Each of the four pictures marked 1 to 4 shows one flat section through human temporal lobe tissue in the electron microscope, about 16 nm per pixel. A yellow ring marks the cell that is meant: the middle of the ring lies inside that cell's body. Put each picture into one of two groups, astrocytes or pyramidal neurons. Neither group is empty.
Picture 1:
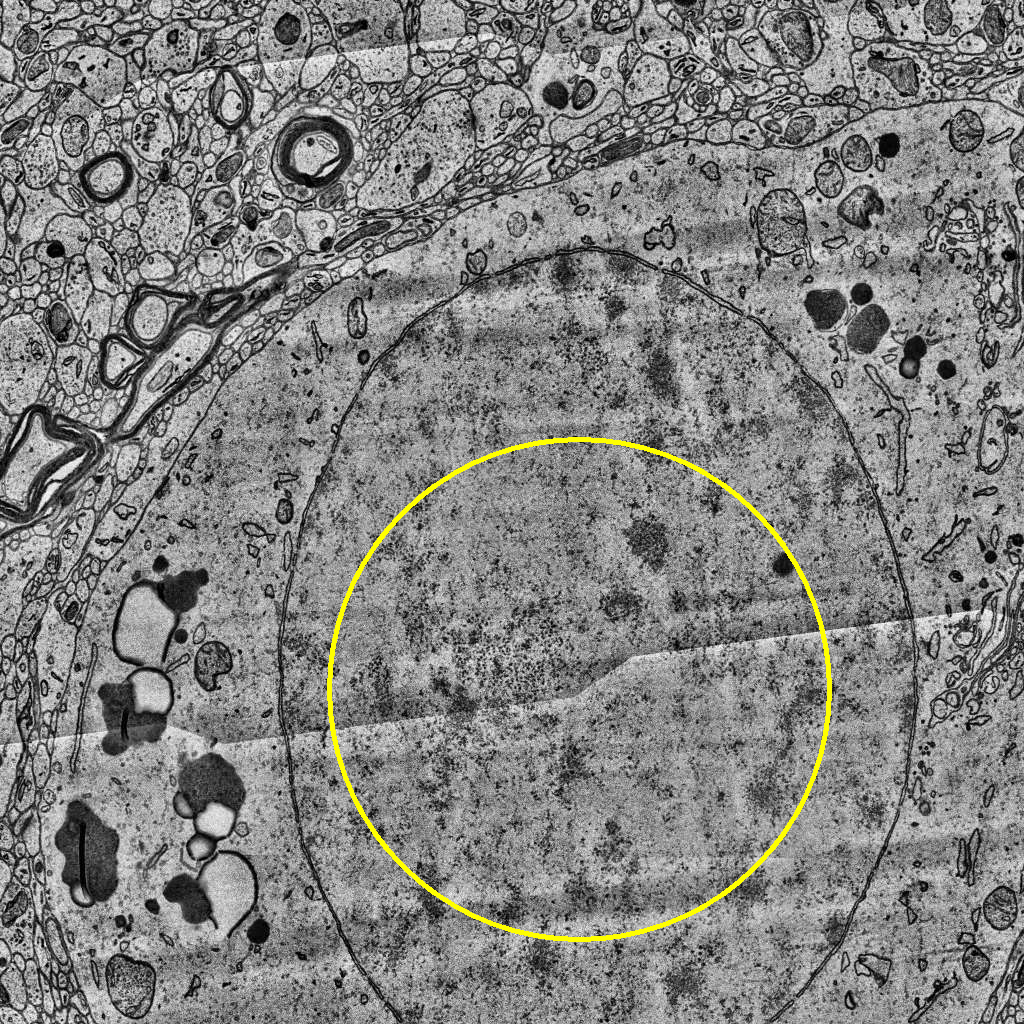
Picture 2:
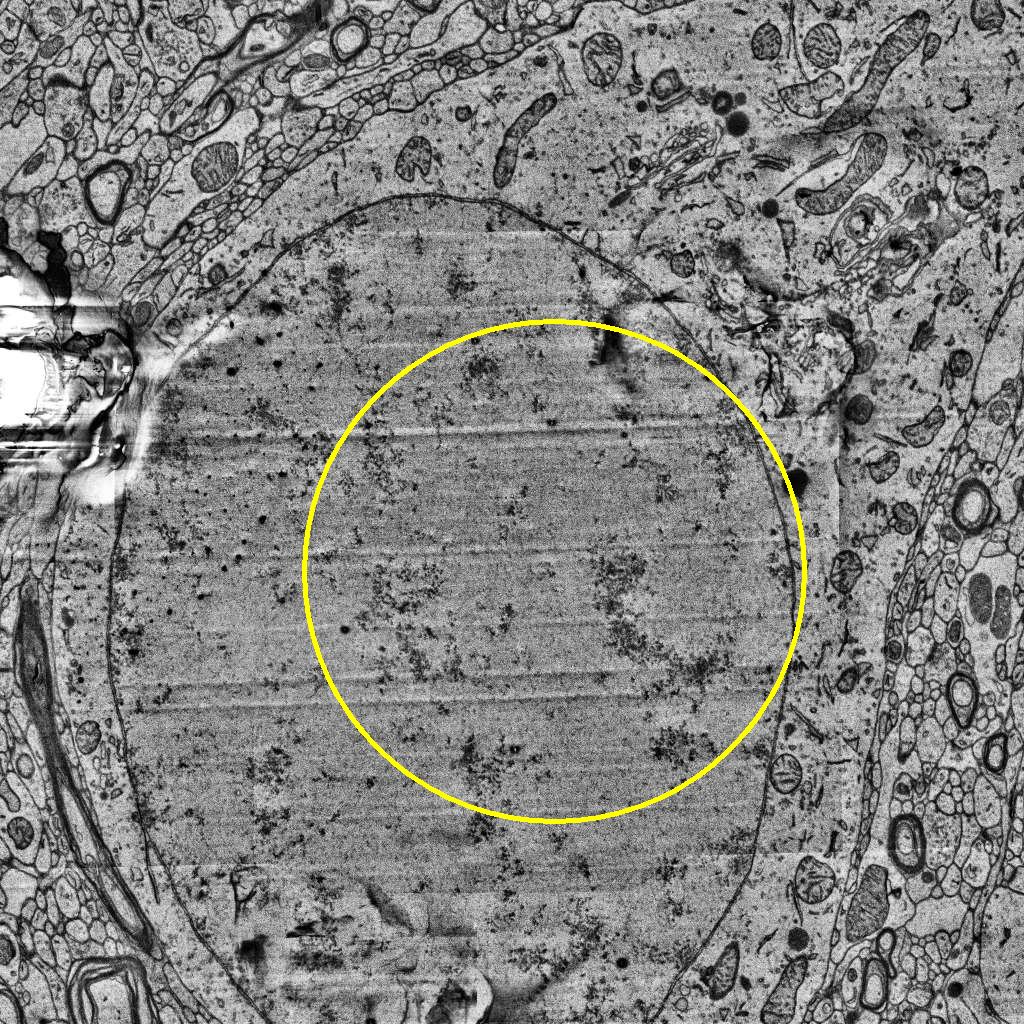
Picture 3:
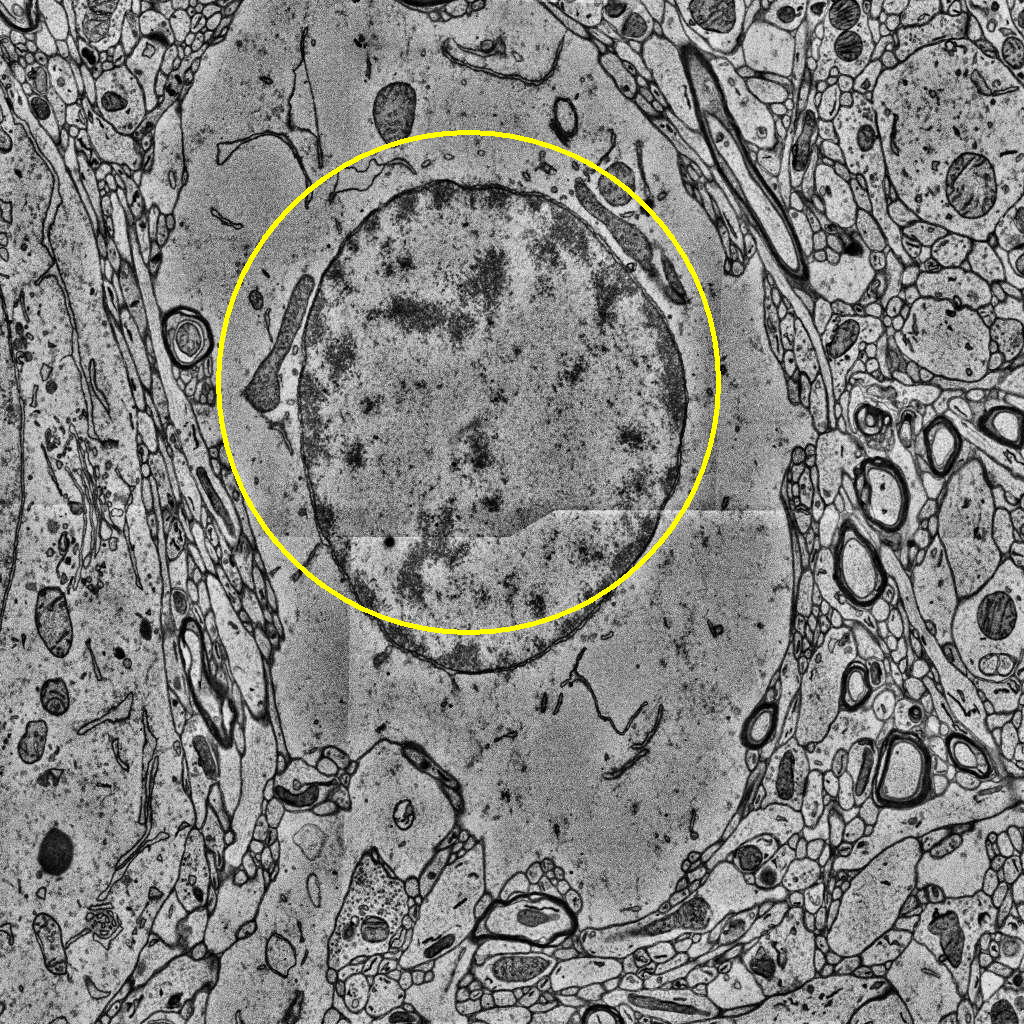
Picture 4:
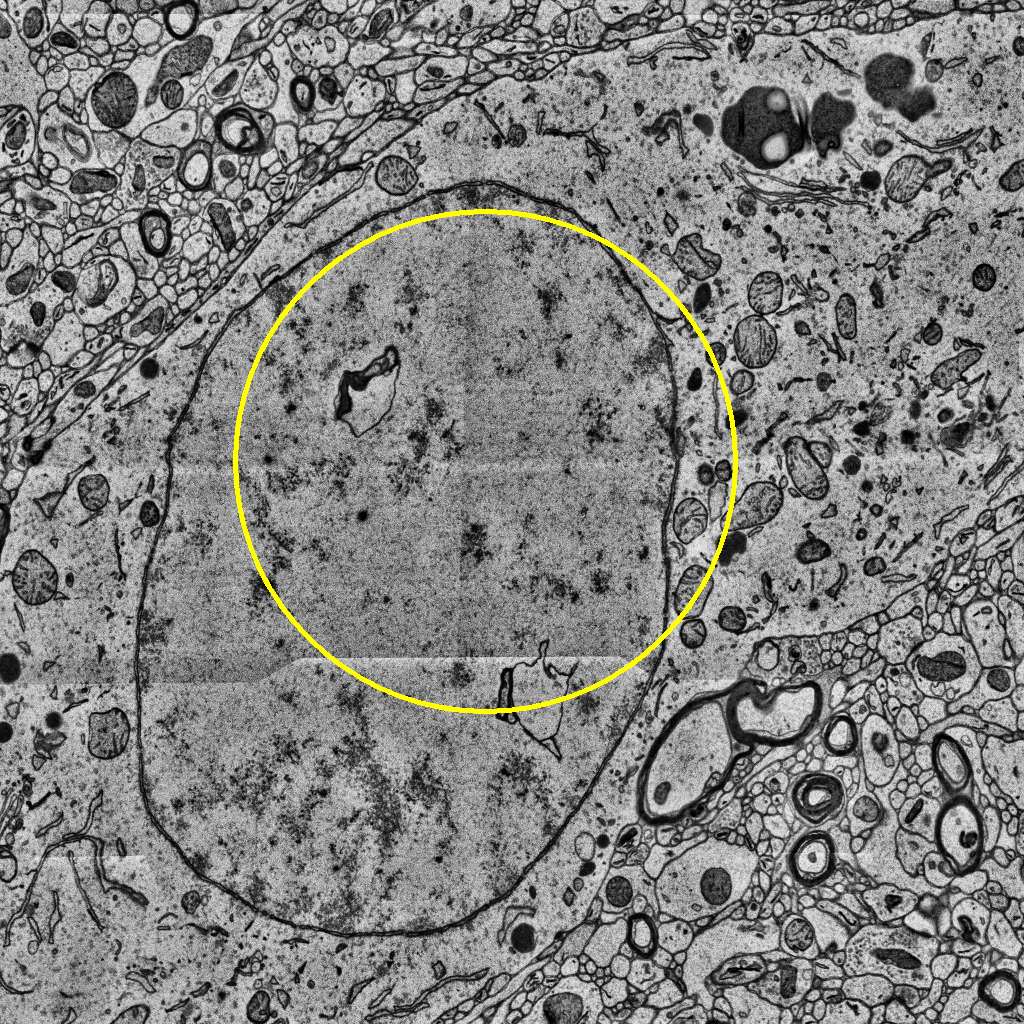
Picture 3 shows an astrocyte, while pictures 1, 2 and 4 show pyramidal neurons.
